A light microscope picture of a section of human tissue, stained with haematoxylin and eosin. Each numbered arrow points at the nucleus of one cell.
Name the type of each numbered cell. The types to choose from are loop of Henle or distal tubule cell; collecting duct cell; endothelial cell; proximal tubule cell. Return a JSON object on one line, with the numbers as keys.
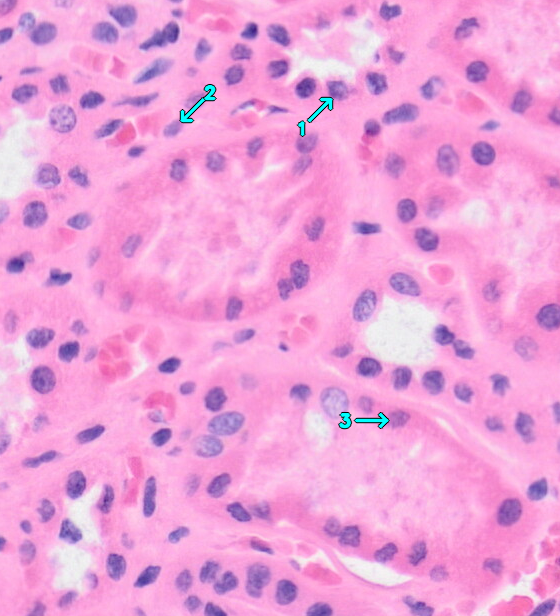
{"1": "loop of Henle or distal tubule cell", "2": "endothelial cell", "3": "proximal tubule cell"}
